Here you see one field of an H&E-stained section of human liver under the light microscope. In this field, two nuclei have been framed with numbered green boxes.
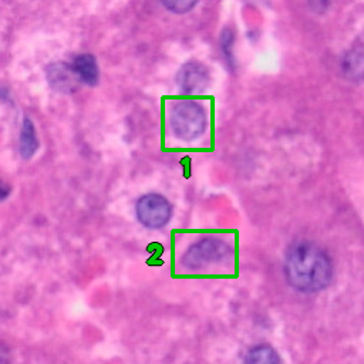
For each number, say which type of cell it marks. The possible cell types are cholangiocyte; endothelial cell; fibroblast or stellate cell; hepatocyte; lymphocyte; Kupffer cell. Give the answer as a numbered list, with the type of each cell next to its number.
1. hepatocyte
2. Kupffer cell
